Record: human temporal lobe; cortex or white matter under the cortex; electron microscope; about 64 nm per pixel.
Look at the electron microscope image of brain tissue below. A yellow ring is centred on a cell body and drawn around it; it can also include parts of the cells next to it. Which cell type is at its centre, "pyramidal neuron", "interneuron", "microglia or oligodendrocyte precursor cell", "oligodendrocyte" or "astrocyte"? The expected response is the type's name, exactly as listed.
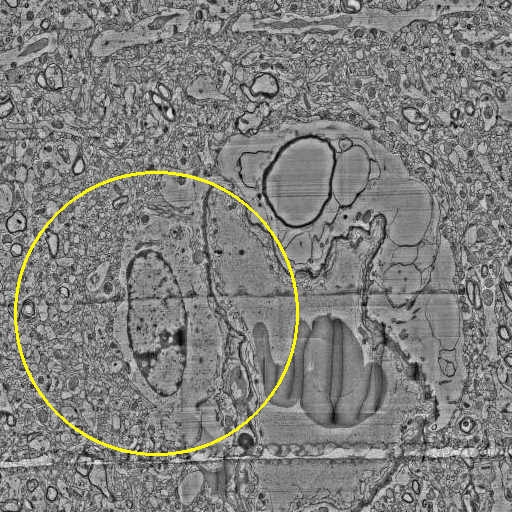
microglia or oligodendrocyte precursor cell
